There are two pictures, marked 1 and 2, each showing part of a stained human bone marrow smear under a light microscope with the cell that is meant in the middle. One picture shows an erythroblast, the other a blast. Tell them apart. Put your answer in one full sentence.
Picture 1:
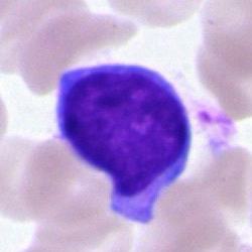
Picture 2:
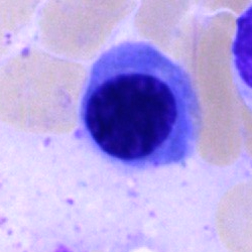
Picture 2 shows an erythroblast, while picture 1 shows a blast.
